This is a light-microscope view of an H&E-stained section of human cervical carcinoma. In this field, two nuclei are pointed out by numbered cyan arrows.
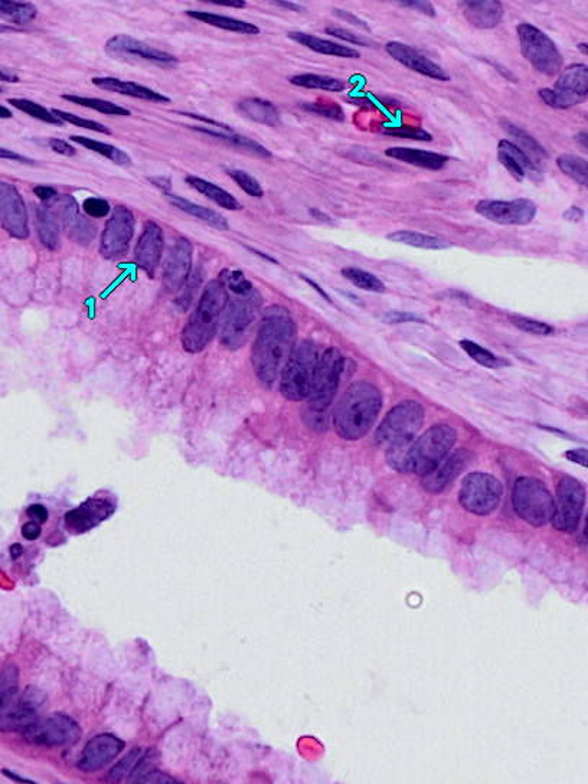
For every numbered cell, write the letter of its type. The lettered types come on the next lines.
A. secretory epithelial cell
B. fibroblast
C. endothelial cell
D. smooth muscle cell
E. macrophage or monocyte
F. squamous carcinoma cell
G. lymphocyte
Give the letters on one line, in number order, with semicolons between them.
A; C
